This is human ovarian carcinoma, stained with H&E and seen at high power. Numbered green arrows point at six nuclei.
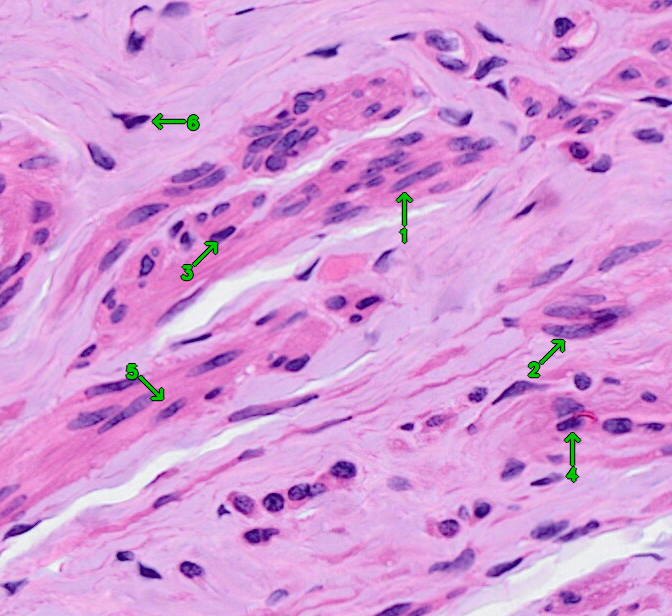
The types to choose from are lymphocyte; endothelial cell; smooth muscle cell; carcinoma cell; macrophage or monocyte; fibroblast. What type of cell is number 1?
smooth muscle cell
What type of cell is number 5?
smooth muscle cell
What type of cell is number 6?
fibroblast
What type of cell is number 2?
smooth muscle cell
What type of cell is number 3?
smooth muscle cell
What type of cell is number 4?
endothelial cell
